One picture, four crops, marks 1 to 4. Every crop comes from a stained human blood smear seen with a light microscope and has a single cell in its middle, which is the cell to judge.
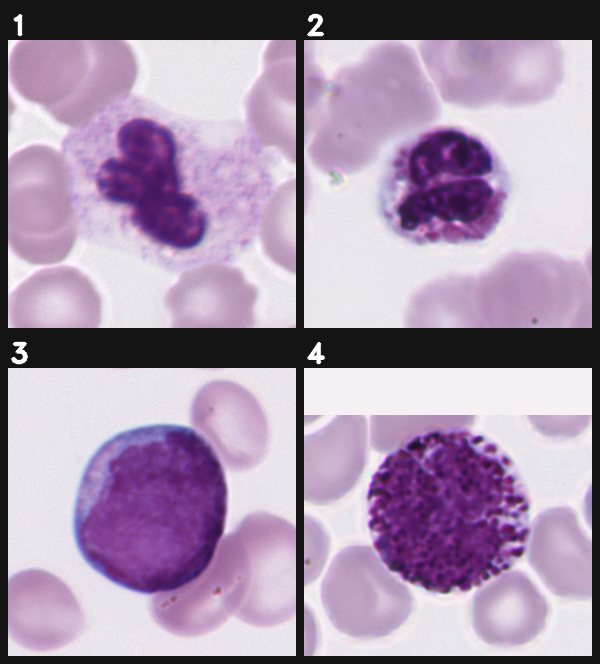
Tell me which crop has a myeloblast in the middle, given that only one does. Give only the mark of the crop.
3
